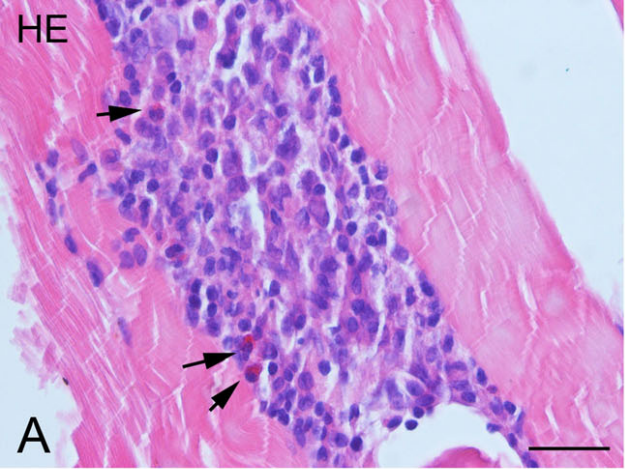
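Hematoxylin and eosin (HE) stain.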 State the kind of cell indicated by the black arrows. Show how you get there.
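Eosinophils. The marked cells have bright red-pink cytoplasm. They lie within a dense cluster of small round purple nuclei.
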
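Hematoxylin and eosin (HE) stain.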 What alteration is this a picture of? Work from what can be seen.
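Endomysial inflammatory cell infiltrate. A dense band of small round purple nuclei lies between pink muscle fibers.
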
